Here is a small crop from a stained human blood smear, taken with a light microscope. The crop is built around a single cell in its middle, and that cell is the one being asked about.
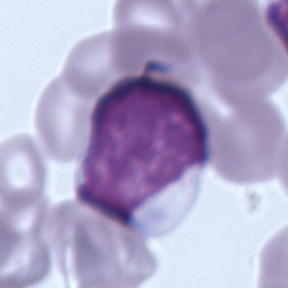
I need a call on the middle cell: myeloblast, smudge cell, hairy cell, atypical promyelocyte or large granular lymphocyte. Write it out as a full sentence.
Among the cells in view, the one in the middle is a large granular lymphocyte.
